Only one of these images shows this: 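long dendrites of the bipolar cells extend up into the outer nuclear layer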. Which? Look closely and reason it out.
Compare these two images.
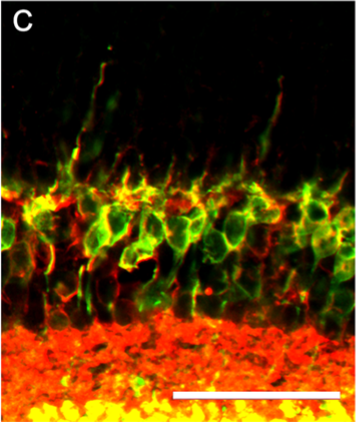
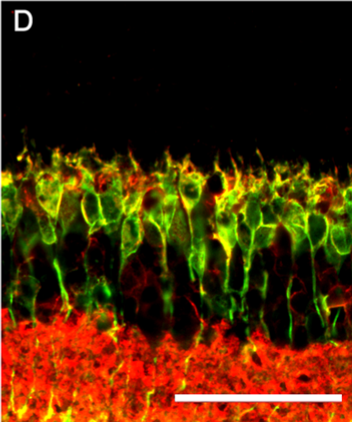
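Second image: the short green and yellow dendritic tufts stop at a thin band just above the cell bodies, with dark layer above empty. First image: several long yellow-green processes reach far up into the dark upper layer.
Conclusion: the first image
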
